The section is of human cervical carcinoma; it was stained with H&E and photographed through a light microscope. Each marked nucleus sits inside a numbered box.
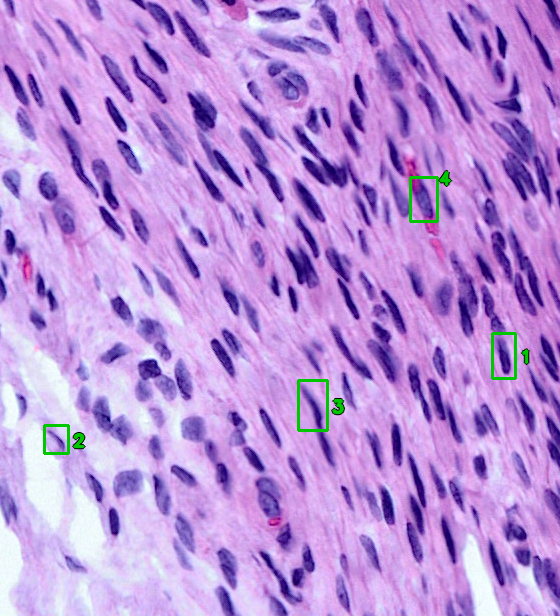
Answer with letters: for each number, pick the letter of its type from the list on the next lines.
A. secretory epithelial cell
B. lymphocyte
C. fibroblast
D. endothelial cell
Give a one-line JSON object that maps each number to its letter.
{"1": "C", "2": "C", "3": "C", "4": "D"}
